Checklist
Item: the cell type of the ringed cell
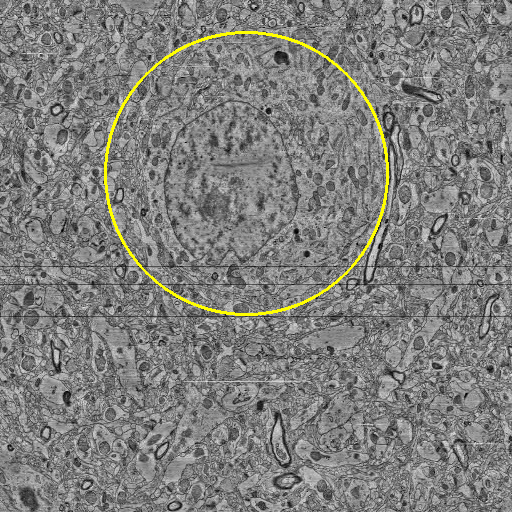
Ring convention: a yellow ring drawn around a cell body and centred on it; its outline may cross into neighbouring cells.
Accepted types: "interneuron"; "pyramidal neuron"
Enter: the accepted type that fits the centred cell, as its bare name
interneuron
